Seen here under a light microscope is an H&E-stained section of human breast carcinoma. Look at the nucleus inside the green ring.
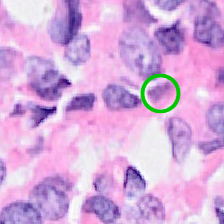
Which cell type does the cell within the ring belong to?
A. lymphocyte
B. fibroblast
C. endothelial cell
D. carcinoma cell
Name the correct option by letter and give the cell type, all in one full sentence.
Option D is correct in stating that the cell within the ring is a carcinoma cell.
